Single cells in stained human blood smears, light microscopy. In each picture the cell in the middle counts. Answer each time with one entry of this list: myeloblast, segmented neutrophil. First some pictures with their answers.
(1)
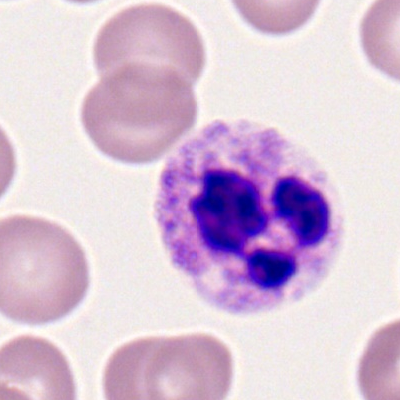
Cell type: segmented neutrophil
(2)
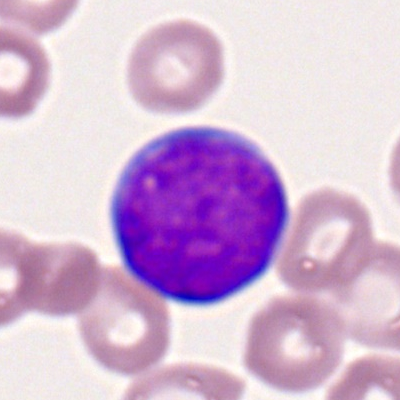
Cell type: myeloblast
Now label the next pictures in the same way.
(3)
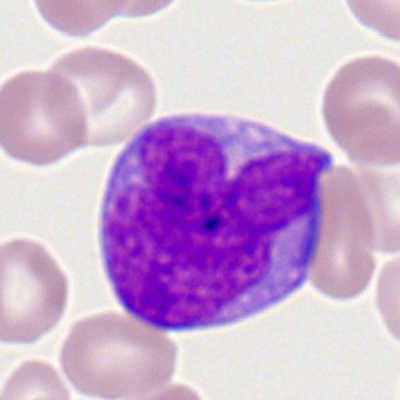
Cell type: myeloblast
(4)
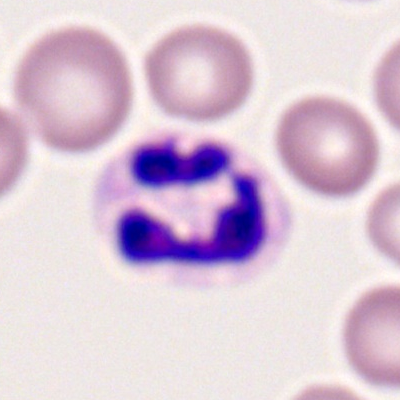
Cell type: segmented neutrophil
